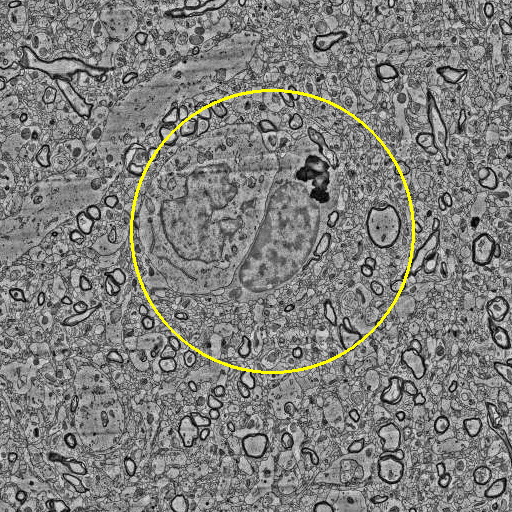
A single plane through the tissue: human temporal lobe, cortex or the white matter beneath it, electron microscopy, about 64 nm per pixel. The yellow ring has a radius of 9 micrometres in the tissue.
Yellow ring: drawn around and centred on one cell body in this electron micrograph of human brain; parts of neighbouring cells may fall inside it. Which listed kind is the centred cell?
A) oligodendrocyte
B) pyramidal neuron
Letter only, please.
A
